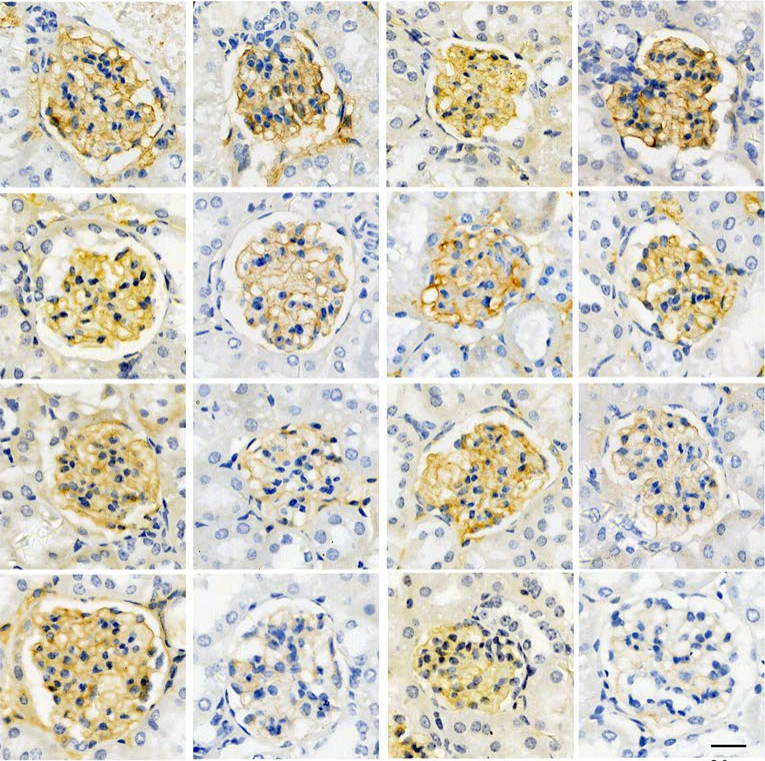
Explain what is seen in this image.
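Grid of kidney sections, each centred on a glomerulus lying within its capsular space and ringed by tubules of cuboidal epithelium. Brown stain traces the glomerular capillary loops, outlining the tuft in a lacy pattern, while nuclei are counterstained blue. The surrounding tubules stay pale, with only faint background tint. In several tiles, especially in the lower rows, the brown tracing in the tuft is faint and the glomerulus looks largely blue.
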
